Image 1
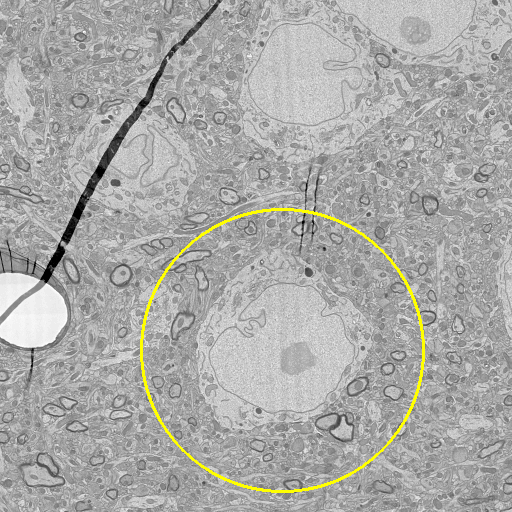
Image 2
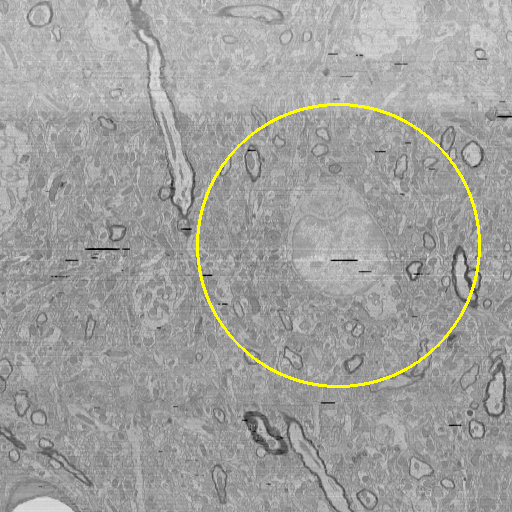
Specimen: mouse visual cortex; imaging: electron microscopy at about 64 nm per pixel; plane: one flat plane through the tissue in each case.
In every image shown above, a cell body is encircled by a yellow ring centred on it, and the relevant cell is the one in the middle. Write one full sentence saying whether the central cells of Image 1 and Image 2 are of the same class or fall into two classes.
The cell at the ring's centre in Image 1 and its counterpart in Image 2 fall into two classes.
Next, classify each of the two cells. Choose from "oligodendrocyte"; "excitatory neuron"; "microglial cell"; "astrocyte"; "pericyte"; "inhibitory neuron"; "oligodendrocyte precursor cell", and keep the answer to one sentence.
In the first picture it is an excitatory neuron; in the second it is an oligodendrocyte.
